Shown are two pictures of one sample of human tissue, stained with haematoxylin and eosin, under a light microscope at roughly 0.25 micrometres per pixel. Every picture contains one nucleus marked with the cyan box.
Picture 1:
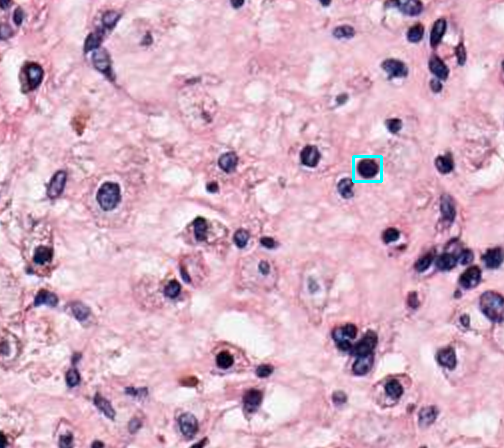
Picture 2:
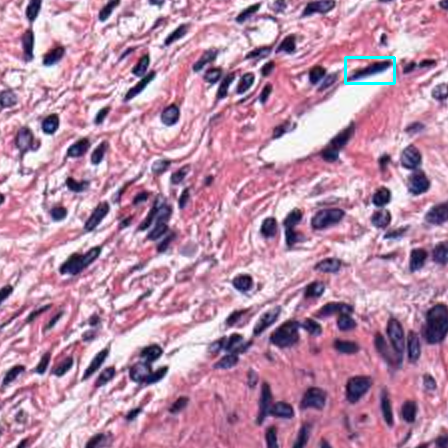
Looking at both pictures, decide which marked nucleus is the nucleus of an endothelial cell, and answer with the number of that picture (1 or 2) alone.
2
